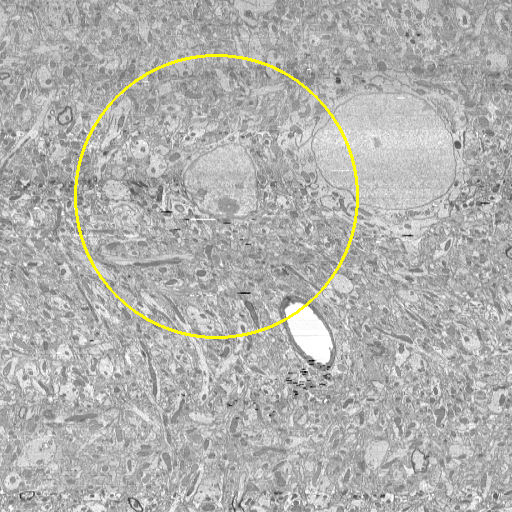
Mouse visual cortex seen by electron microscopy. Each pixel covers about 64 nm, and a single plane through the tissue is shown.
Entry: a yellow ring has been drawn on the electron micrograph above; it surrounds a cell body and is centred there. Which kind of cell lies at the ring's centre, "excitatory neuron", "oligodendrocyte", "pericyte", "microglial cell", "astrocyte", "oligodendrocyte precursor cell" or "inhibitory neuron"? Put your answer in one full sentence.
The cell sitting at the ring's centre is an oligodendrocyte precursor cell in the micrograph above.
